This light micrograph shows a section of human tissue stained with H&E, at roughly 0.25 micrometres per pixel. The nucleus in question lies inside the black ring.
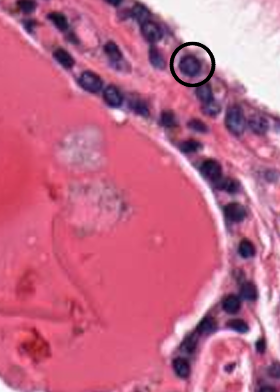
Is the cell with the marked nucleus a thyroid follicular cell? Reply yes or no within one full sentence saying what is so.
Yes, the marked nucleus is that of a thyroid follicular cell in this section.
